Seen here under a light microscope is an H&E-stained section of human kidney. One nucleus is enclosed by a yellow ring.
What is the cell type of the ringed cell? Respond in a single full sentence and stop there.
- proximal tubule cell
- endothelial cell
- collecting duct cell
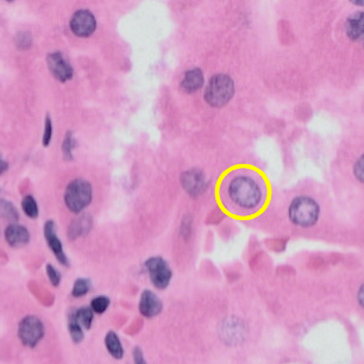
Within the stained tissue, the ringed cell is a proximal tubule cell.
